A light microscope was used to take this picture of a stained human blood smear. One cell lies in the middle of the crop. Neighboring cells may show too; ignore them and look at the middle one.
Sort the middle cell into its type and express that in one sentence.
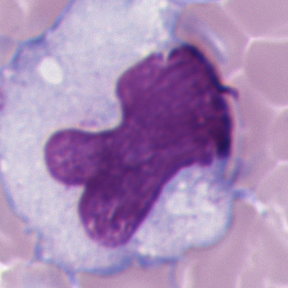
Centred in the crop is a monocyte.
